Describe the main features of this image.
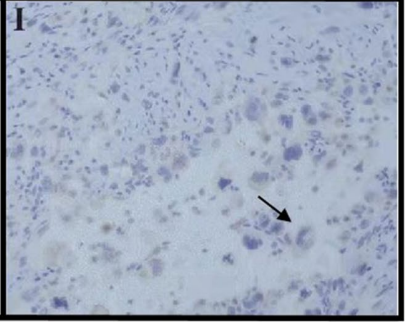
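This is a cellular tumour field with many pleomorphic cells and scattered large multinucleated giant cells. The giant cells are much larger, with several nuclei grouped within a broad cytoplasm that takes a faint pale brown tint. The arrow marks one such multinucleated giant cell. The overall staining in the field is weak, with no strong dark brown areas.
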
